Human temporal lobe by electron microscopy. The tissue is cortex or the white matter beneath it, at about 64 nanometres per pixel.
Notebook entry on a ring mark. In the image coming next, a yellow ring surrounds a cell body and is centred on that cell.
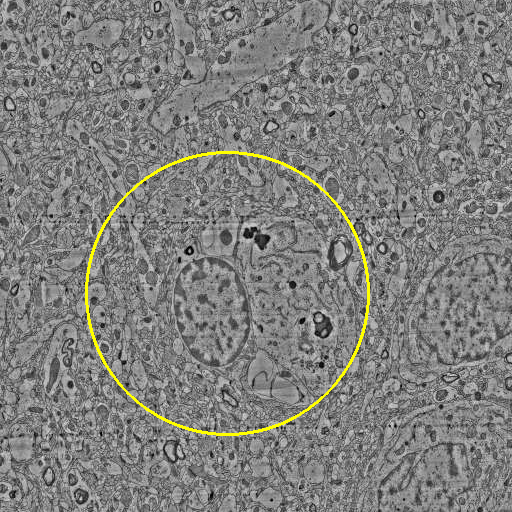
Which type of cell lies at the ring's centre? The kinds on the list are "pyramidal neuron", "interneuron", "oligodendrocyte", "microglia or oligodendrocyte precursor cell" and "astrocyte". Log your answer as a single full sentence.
Centred in the yellow ring is a microglial cell or oligodendrocyte precursor cell, the cell recorded for this image.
